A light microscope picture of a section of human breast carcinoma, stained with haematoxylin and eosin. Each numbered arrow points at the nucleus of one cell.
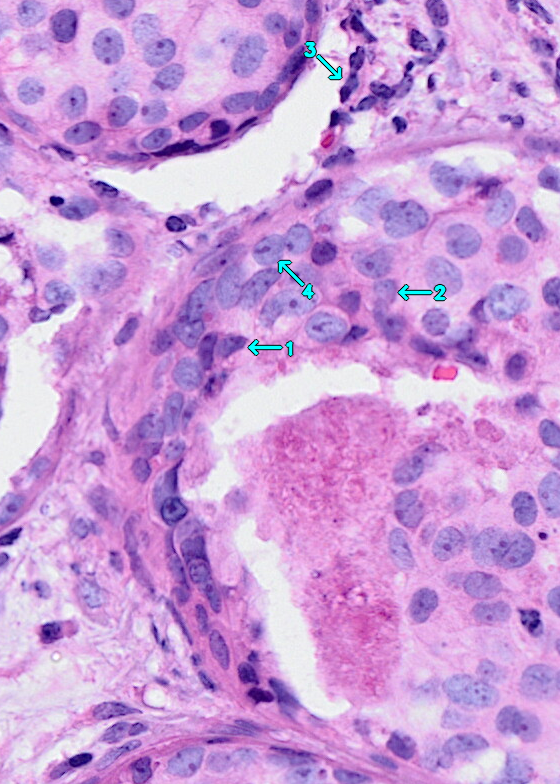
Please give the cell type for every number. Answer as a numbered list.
1. carcinoma cell
2. carcinoma cell
3. lymphocyte
4. carcinoma cell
